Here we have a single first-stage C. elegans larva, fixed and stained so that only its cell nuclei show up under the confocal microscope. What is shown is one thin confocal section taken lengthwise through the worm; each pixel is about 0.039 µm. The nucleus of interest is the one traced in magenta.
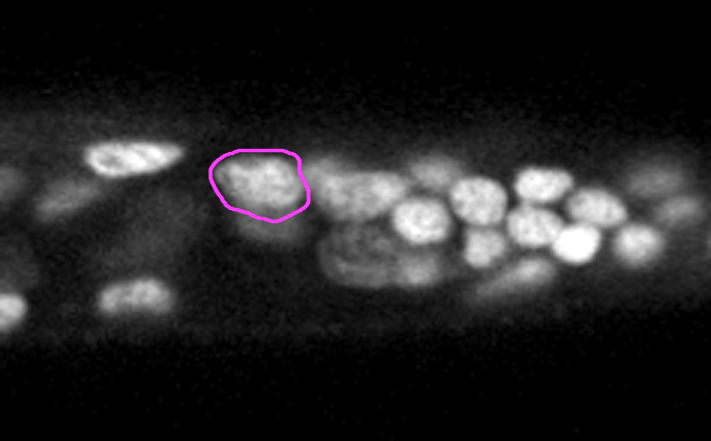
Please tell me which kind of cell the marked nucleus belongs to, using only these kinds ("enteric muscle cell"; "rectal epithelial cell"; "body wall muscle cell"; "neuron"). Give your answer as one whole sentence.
The marked nucleus belongs to an enteric muscle cell.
